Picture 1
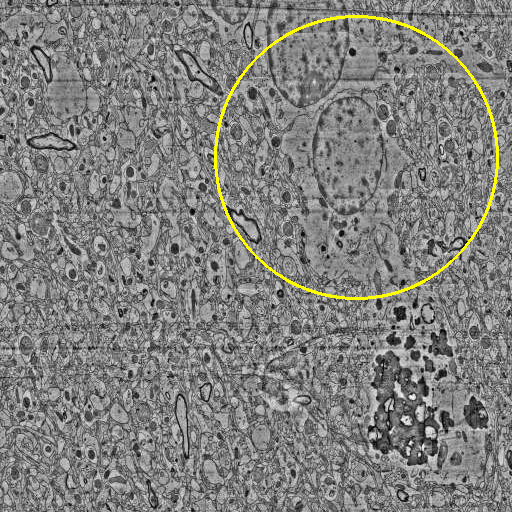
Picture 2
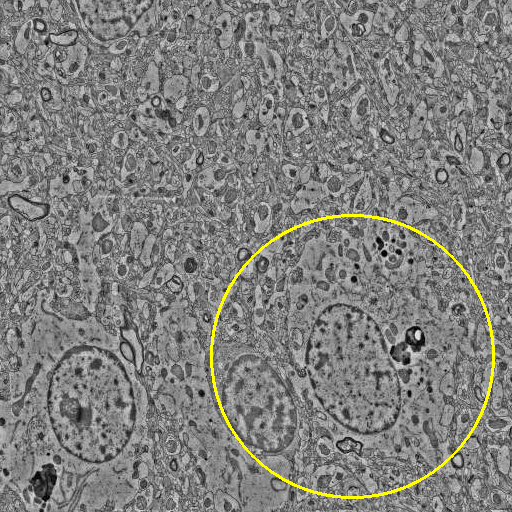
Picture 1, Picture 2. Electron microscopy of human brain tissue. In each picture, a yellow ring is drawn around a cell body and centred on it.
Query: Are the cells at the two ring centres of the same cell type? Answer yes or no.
yes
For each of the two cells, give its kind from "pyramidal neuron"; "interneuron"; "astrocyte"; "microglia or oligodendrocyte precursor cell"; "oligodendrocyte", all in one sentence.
In the first picture and in the second, the ring is centred on an astrocyte.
